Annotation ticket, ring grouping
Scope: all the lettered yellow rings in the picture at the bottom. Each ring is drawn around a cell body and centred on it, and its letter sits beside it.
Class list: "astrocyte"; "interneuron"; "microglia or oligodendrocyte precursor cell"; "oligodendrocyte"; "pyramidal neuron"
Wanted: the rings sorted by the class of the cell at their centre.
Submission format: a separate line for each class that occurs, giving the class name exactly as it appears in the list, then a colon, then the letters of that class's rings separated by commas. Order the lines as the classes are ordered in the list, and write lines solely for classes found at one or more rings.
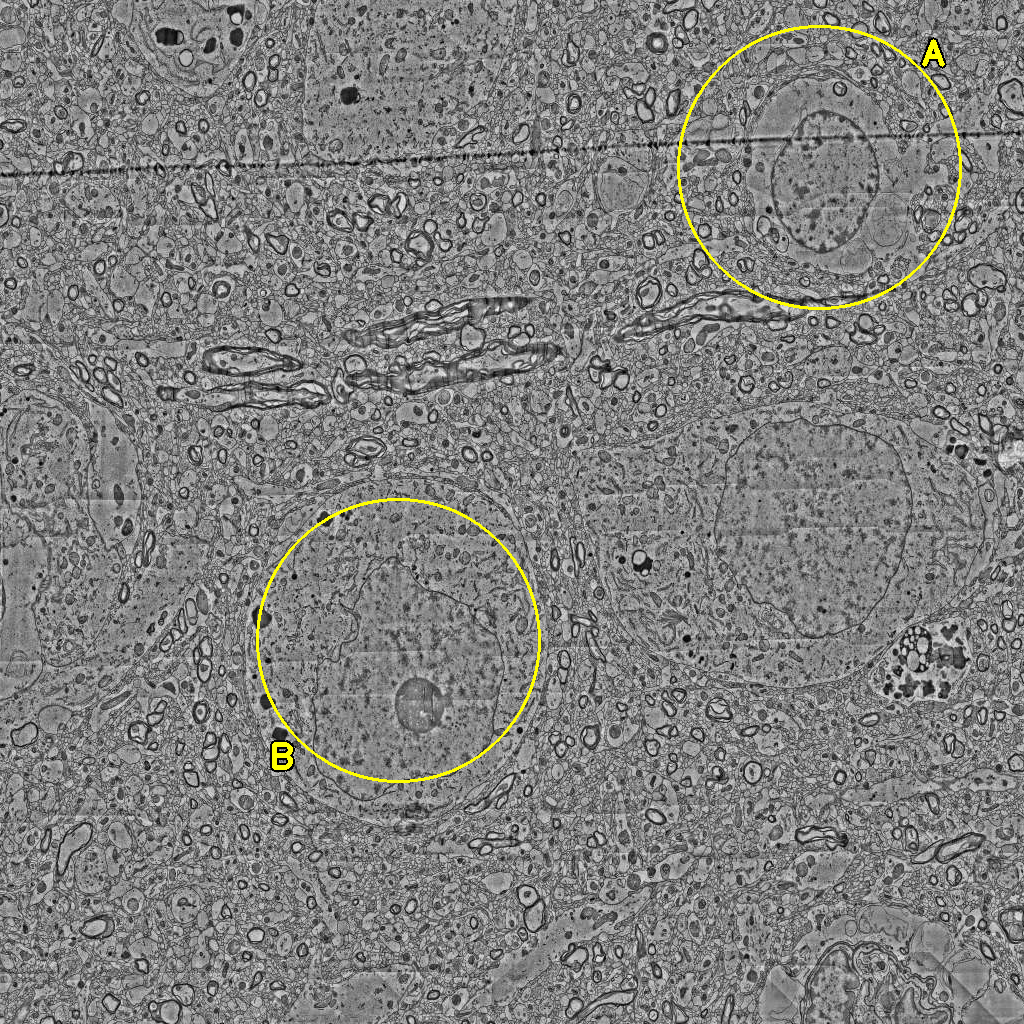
astrocyte: A
pyramidal neuron: B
